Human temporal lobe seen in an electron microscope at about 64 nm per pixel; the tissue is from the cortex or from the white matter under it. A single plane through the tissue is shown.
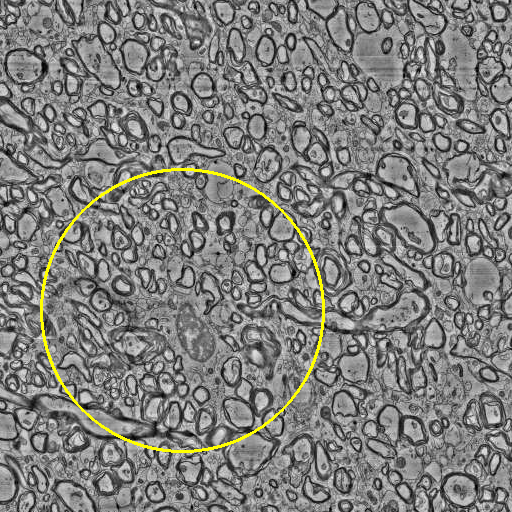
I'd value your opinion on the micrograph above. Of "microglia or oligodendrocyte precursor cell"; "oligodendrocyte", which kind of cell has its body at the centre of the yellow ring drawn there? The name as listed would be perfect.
oligodendrocyte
